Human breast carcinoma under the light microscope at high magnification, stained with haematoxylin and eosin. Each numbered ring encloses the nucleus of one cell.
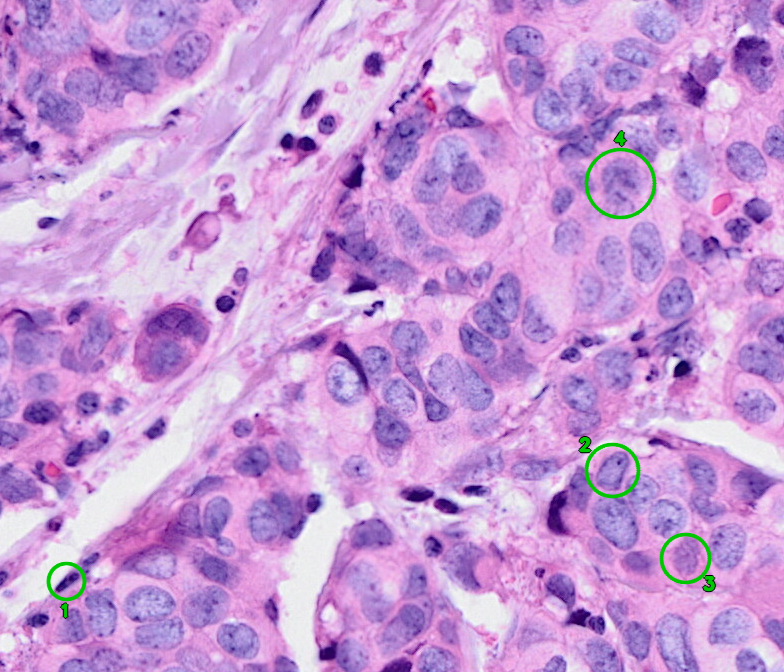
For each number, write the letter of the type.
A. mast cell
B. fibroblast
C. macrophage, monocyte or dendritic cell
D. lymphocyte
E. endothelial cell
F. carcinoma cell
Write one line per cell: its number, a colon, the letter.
1: D
2: F
3: F
4: F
